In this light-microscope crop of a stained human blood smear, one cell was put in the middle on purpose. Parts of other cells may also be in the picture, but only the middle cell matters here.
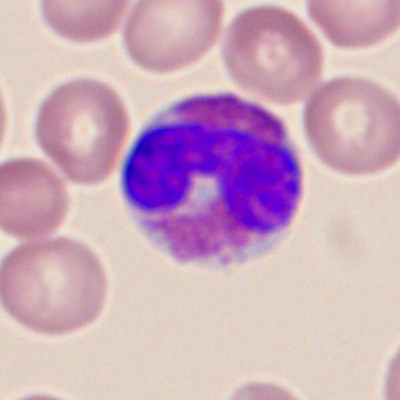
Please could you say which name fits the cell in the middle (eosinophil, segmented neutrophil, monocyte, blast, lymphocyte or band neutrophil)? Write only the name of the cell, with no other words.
eosinophil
